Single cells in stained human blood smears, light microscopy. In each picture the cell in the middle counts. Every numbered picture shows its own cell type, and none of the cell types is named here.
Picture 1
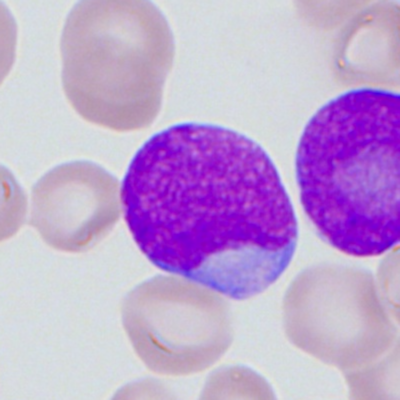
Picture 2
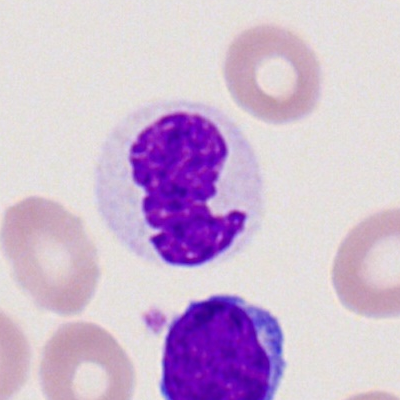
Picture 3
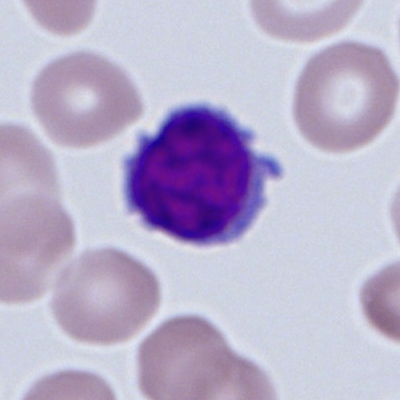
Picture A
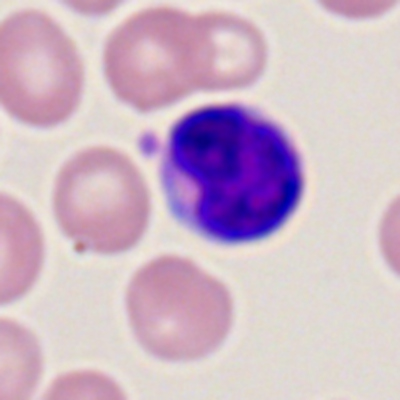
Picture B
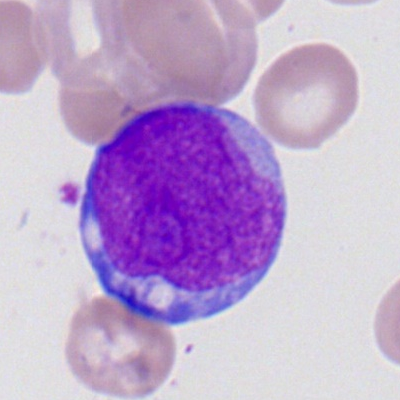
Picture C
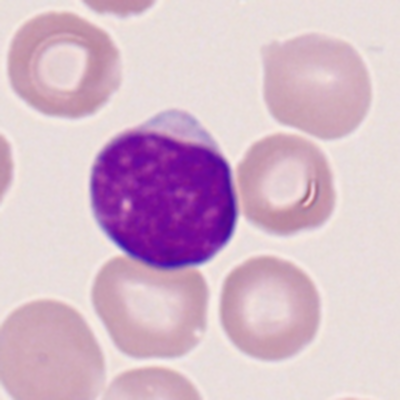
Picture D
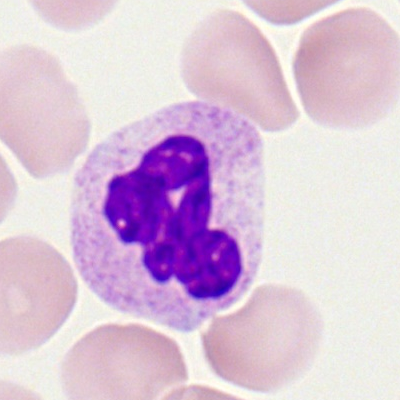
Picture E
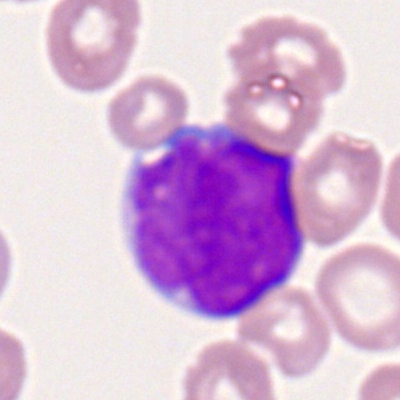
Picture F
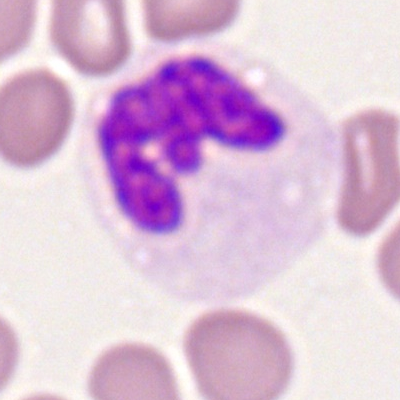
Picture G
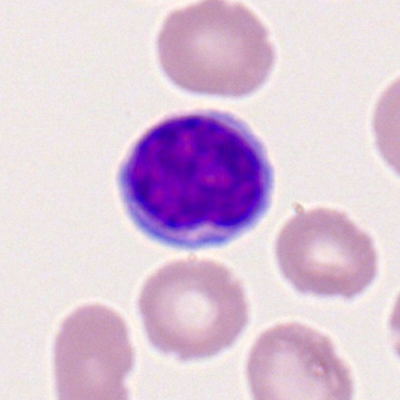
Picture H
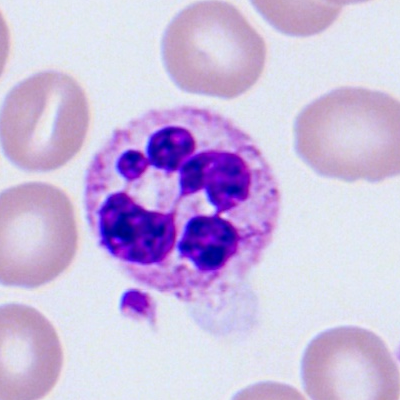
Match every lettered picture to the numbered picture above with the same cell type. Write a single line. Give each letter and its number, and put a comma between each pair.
A 3, B 1, C 1, D 2, E 1, F 2, G 3, H 2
